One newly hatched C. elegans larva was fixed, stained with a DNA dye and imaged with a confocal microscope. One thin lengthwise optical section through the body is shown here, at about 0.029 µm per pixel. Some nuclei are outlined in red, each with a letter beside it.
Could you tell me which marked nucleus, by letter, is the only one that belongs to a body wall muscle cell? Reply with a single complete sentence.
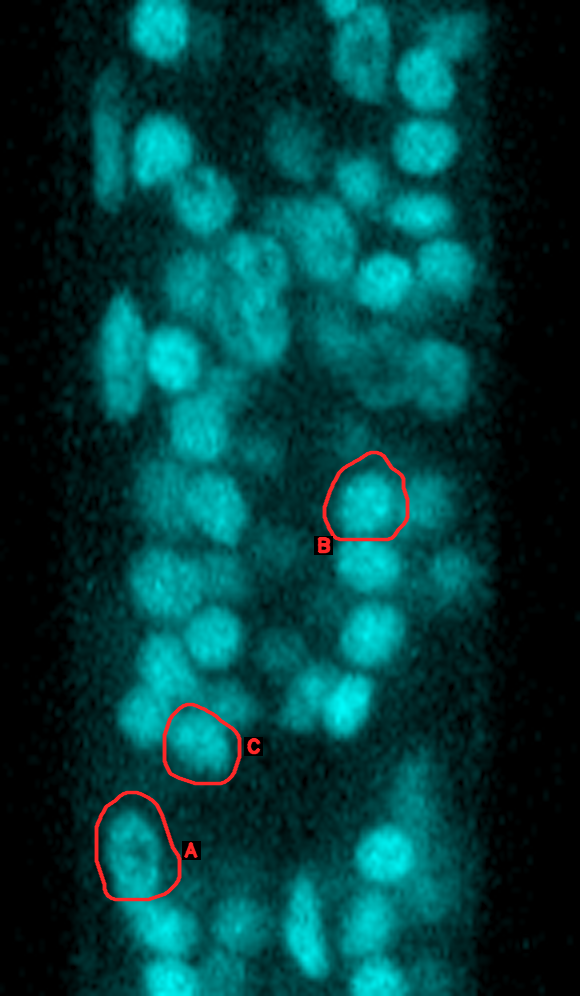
A is the nucleus of a body wall muscle cell.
